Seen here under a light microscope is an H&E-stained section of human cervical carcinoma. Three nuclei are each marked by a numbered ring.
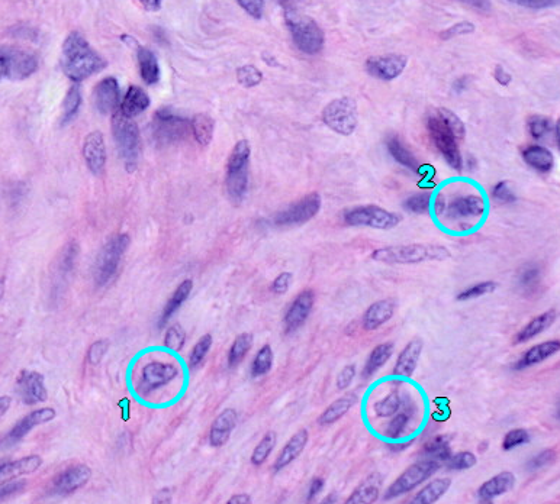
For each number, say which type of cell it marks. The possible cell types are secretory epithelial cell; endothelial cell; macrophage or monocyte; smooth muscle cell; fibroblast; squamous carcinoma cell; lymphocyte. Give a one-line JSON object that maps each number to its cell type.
{"1": "smooth muscle cell", "2": "fibroblast", "3": "smooth muscle cell"}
